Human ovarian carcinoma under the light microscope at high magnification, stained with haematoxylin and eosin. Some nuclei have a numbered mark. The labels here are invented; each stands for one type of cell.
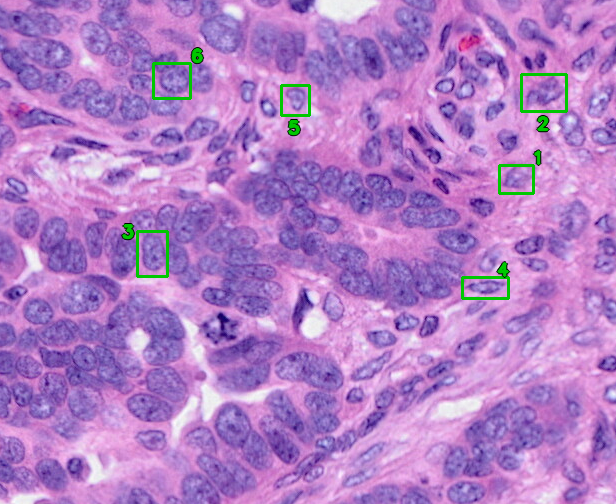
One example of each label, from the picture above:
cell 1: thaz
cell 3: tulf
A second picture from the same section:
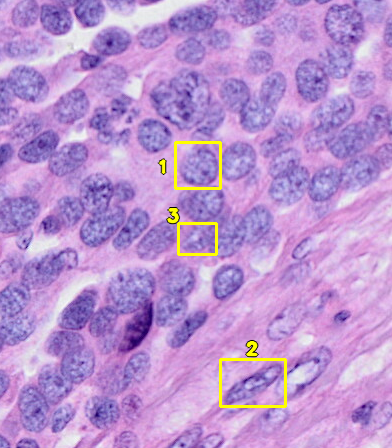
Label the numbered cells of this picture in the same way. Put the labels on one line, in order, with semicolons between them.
tulf; thaz; tulf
